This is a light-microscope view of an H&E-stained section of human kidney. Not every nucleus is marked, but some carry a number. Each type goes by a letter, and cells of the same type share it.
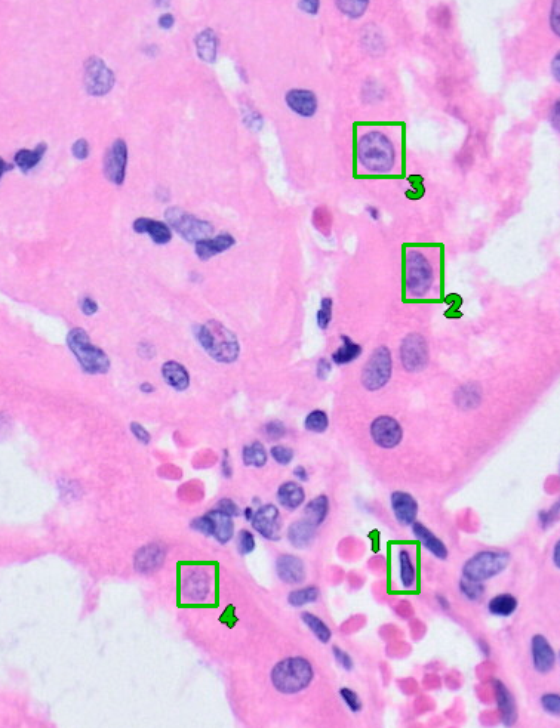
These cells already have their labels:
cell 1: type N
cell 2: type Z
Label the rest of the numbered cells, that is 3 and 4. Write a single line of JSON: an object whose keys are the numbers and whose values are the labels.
{"3": "type Z", "4": "type Z"}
